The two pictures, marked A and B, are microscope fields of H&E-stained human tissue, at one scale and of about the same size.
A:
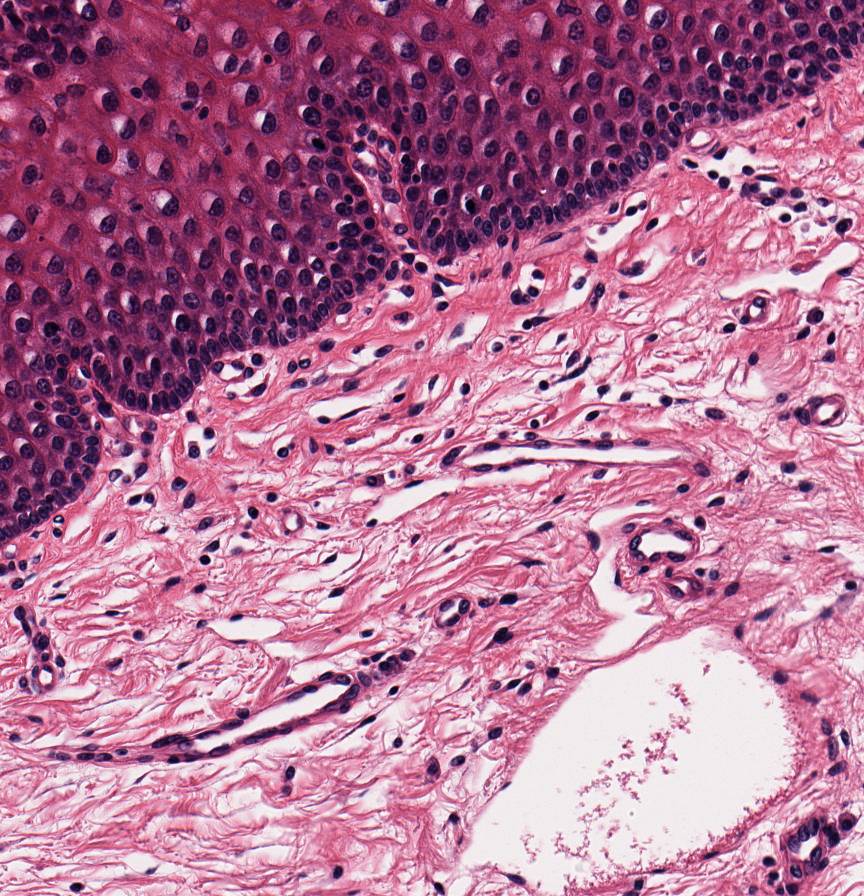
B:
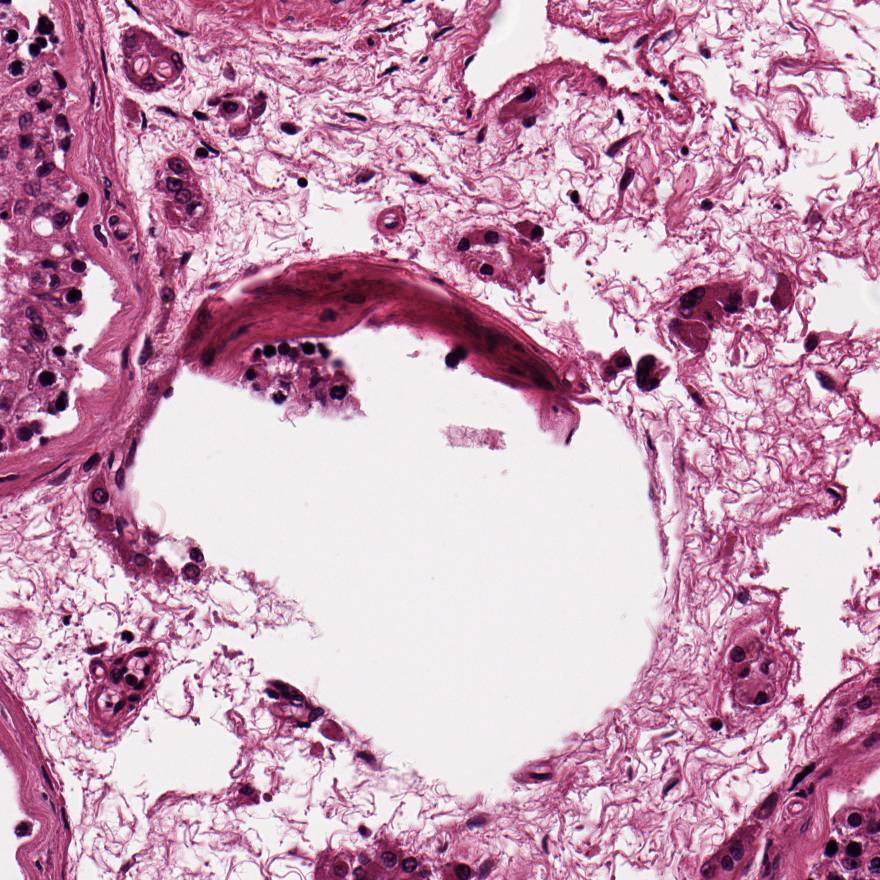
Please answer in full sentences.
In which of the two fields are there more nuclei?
More nuclei lie in field A than in field B.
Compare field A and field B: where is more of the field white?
Field B has more white space.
